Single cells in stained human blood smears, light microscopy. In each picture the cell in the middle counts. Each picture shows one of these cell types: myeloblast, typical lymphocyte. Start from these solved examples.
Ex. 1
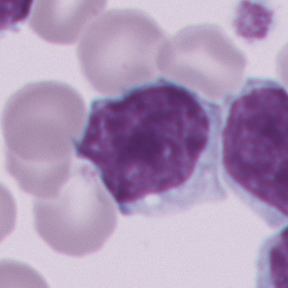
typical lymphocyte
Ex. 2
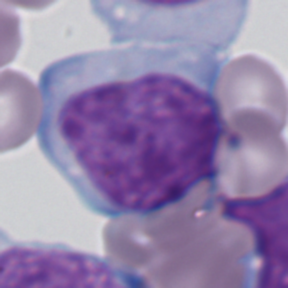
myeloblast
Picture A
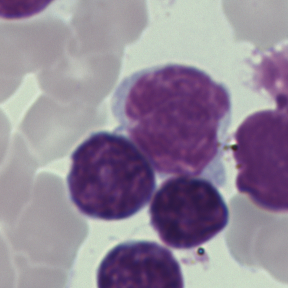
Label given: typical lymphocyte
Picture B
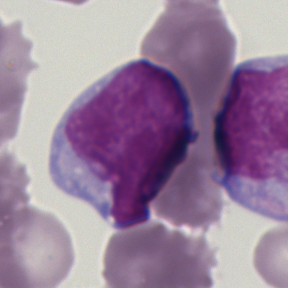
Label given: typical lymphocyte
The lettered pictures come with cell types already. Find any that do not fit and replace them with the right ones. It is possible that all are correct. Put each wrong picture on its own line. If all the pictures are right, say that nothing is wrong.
A: not typical lymphocyte but myeloblast
B: not typical lymphocyte but myeloblast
